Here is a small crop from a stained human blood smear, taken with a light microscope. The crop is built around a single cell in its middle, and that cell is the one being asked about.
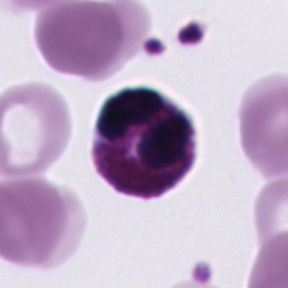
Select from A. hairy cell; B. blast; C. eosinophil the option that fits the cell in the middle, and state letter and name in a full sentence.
In this crop the central cell is an eosinophil, which option C correctly states.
